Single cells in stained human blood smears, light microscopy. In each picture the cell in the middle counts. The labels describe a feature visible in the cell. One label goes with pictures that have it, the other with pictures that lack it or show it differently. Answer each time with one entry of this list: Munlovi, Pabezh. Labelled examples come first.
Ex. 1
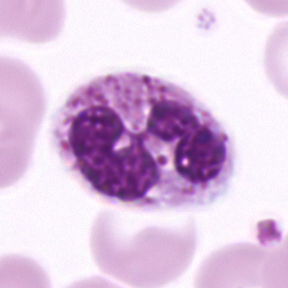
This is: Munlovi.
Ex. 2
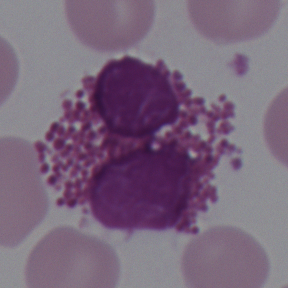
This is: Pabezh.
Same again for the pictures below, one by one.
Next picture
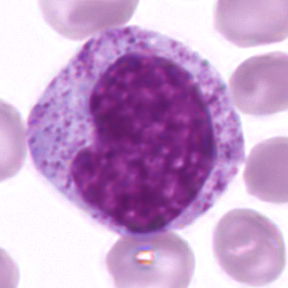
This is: Munlovi.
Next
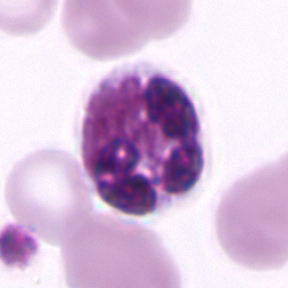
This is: Munlovi.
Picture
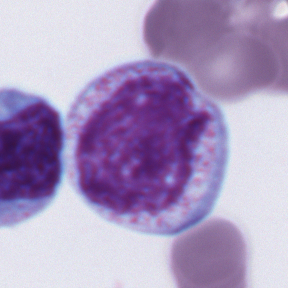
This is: Munlovi.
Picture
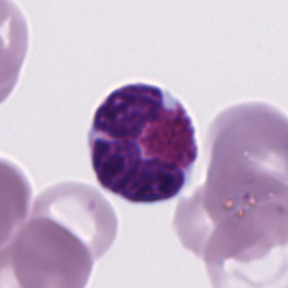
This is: Munlovi.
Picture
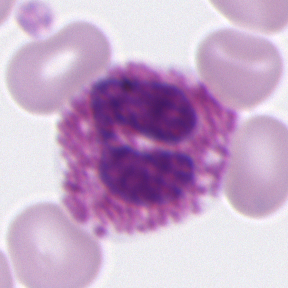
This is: Pabezh.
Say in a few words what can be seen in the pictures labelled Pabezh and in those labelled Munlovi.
Seen in Pabezh: coarse or large granules; seen in Munlovi: fine or small granules.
